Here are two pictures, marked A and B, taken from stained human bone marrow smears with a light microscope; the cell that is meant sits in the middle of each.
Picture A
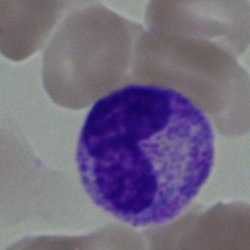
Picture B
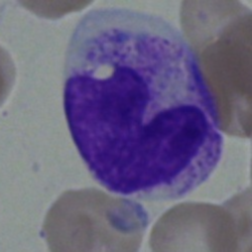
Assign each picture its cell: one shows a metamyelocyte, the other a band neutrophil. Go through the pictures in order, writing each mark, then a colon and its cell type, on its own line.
A: band neutrophil
B: metamyelocyte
